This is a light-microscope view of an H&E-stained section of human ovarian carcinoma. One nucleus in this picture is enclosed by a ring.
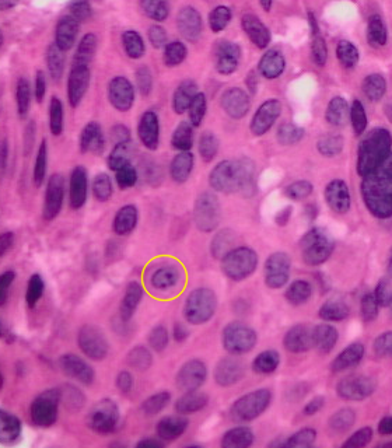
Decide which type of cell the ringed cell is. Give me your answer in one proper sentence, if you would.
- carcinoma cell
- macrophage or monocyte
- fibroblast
Students should answer that the ringed cell is a macrophage or monocyte.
